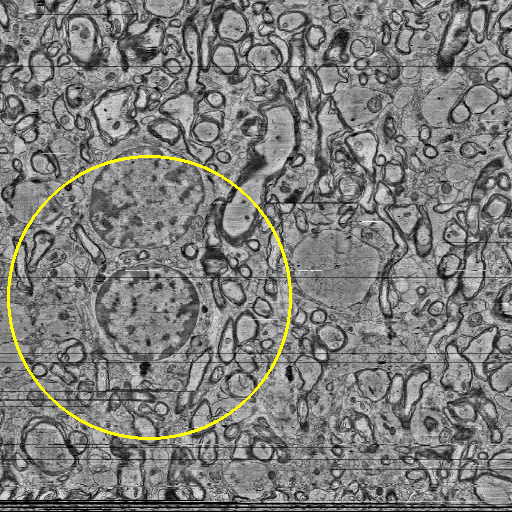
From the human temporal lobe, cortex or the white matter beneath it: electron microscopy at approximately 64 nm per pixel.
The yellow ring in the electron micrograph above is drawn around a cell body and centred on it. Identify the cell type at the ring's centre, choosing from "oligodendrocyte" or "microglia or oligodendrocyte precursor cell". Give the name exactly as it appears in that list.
microglia or oligodendrocyte precursor cell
